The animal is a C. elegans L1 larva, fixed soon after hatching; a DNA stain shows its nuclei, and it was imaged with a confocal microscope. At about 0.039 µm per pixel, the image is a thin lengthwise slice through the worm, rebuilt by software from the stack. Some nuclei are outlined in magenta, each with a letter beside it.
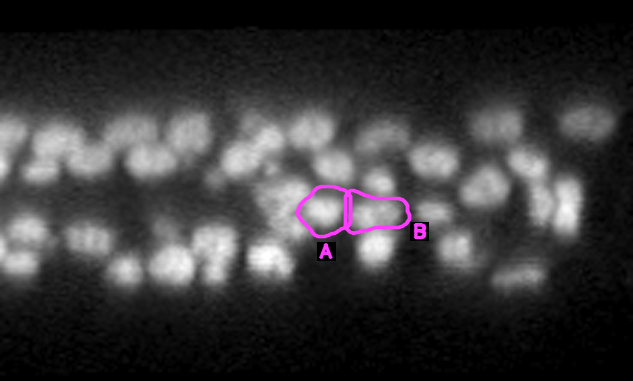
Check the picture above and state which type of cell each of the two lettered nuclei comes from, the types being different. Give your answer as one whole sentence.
A is in a neuron and B is in a pharyngeal muscle cell.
